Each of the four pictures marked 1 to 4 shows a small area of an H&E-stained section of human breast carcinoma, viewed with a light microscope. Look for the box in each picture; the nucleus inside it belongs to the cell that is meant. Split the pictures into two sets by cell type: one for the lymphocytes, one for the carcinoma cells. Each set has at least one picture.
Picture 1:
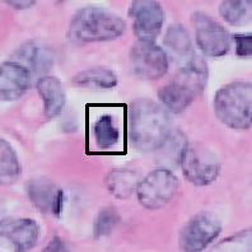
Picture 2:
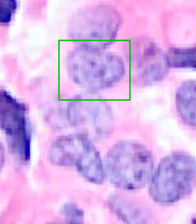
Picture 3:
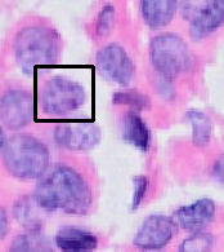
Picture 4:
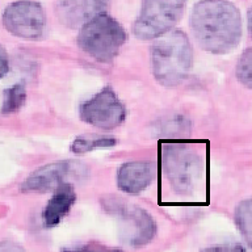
1: lymphocyte
2: carcinoma cell
3: carcinoma cell
4: carcinoma cell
